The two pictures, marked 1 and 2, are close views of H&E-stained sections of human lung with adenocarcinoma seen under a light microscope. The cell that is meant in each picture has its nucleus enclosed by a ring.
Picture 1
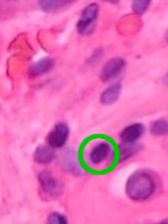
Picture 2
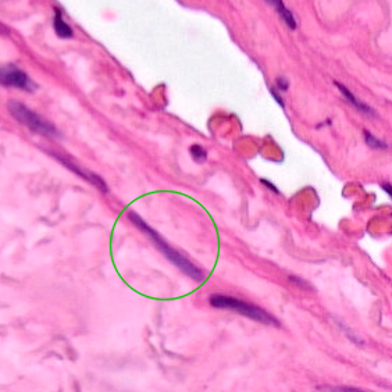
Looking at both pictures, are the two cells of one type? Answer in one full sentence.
No. Picture 1 shows a lymphocyte, but picture 2 shows a “smooth muscle cell or pericyte”.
